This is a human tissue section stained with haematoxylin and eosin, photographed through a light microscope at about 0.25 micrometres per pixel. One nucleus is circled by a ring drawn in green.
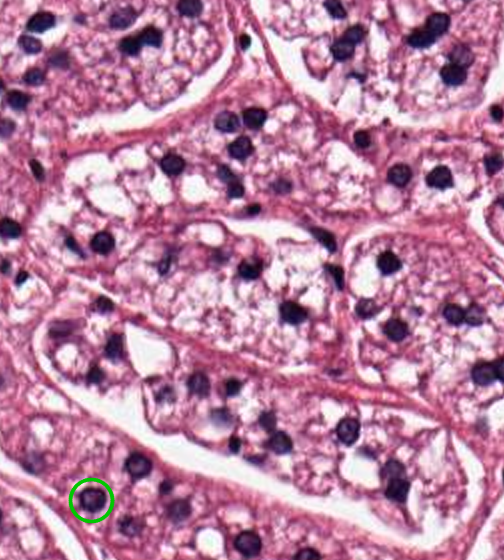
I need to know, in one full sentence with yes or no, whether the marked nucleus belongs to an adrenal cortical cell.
Yes, the marked nucleus belongs to an adrenal cortical cell in this image.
